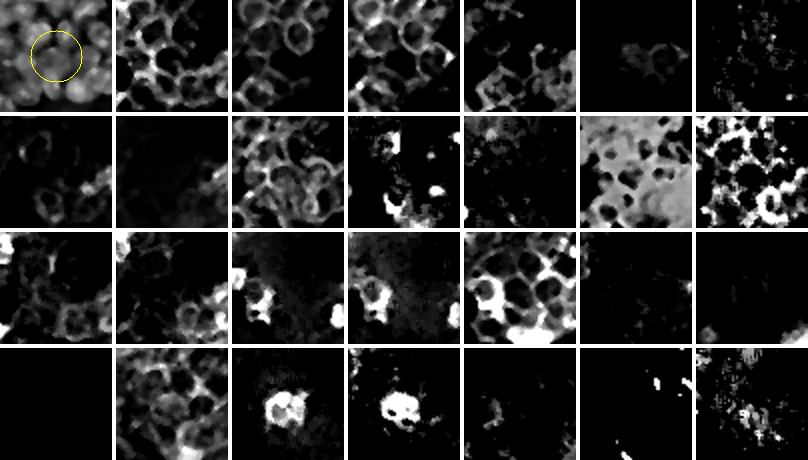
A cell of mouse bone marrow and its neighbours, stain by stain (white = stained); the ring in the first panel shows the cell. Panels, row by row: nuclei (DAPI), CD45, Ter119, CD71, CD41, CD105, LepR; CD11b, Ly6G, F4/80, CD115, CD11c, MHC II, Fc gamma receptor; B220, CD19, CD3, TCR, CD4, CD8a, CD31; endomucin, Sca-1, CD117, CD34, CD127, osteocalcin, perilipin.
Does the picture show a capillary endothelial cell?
No, it shows a granulocyte-monocyte progenitor.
